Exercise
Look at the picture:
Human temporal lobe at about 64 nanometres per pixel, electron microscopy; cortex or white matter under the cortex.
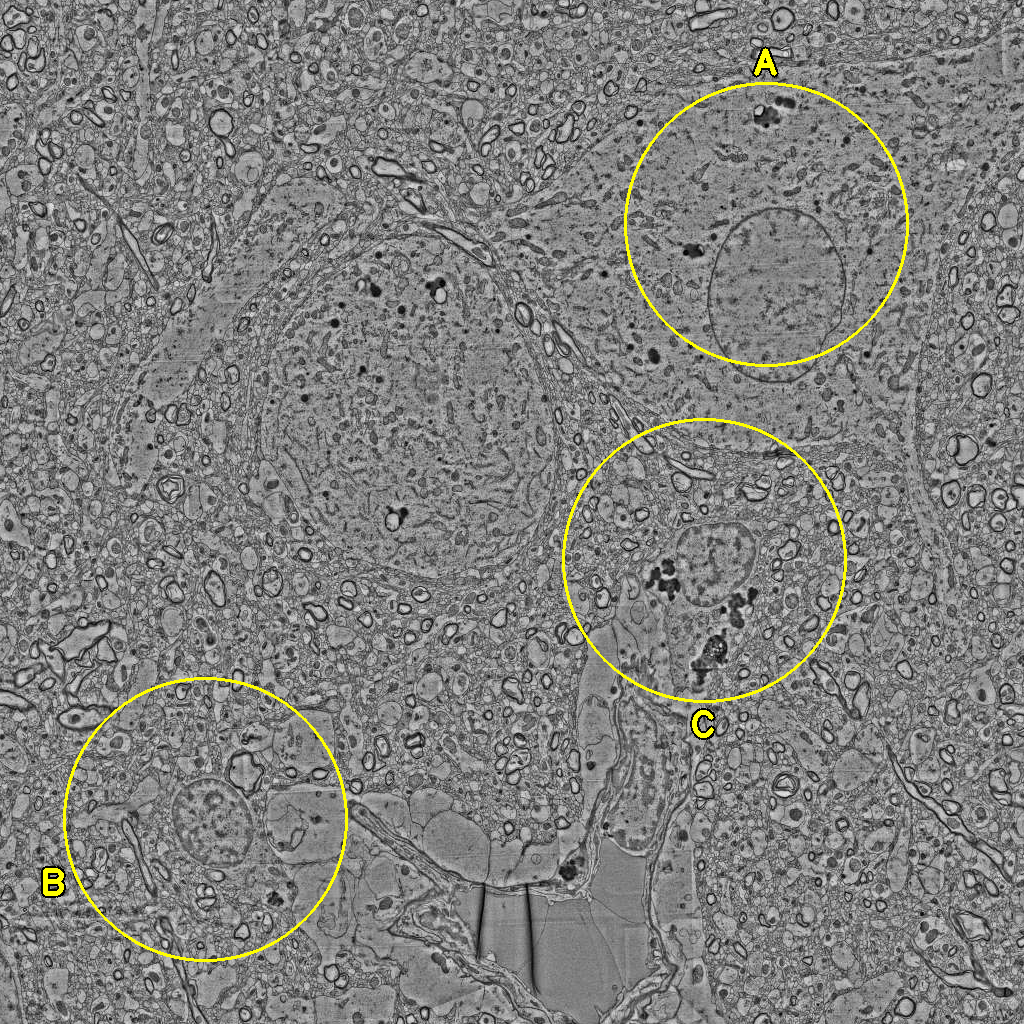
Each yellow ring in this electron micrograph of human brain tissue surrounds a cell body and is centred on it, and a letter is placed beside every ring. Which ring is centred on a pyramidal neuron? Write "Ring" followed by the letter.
Ring A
